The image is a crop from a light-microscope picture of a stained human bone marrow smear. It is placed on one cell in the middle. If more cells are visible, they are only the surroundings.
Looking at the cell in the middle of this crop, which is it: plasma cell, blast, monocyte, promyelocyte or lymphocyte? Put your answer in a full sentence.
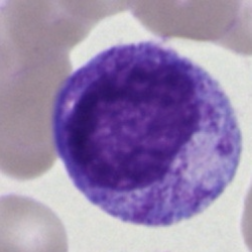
The cell at the centre of the field is a promyelocyte.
